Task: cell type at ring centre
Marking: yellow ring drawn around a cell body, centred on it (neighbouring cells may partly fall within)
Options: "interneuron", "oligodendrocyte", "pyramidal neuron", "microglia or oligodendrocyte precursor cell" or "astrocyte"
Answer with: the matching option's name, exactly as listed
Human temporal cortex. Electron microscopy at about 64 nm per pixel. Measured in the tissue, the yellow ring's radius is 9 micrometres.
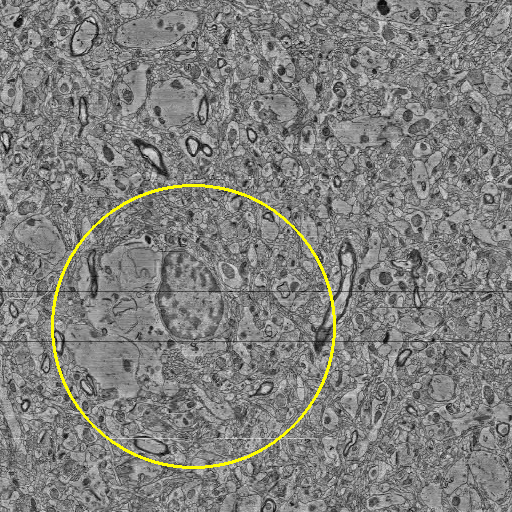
oligodendrocyte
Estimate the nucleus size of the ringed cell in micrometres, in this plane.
In this plane the nucleus spans approximately 6 by 4 micrometers.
